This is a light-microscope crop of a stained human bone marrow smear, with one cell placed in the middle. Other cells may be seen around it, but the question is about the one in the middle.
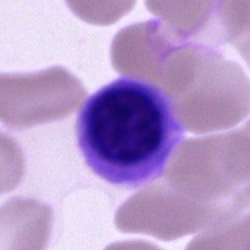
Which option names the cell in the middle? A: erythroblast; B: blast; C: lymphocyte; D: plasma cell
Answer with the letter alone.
A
